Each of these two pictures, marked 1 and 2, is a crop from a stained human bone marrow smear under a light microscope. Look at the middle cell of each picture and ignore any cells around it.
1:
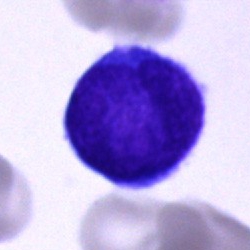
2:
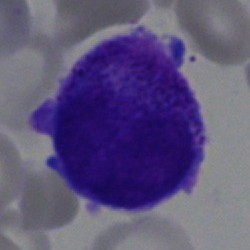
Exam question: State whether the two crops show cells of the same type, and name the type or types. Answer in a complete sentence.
Yes, the first and the second crop both show blasts.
